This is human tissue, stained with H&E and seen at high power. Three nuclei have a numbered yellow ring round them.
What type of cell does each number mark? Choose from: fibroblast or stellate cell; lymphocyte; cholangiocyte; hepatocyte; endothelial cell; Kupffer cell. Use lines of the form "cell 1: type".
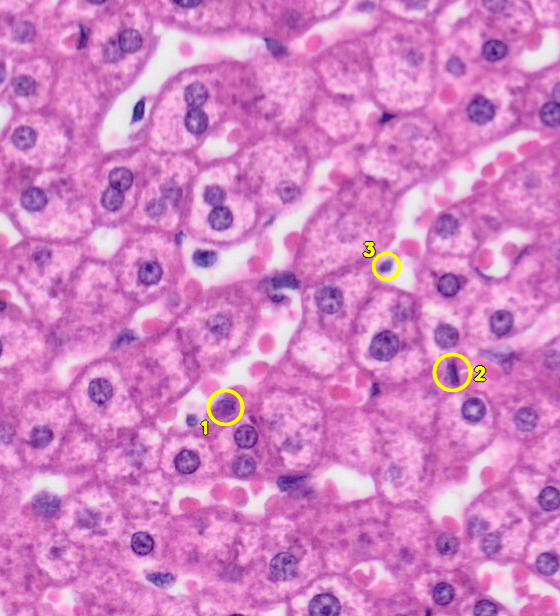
cell 1: Kupffer cell
cell 2: endothelial cell
cell 3: lymphocyte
